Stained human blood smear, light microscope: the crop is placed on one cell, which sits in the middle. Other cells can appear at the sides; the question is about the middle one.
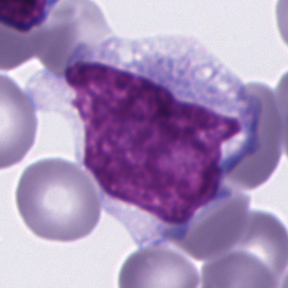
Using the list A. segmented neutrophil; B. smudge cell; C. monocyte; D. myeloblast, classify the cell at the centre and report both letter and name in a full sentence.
The expected answer is option C, the central cell being a monocyte.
